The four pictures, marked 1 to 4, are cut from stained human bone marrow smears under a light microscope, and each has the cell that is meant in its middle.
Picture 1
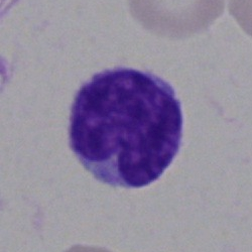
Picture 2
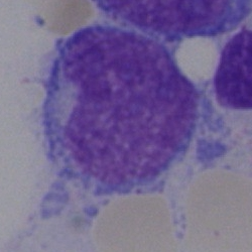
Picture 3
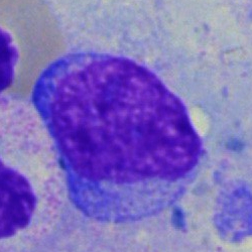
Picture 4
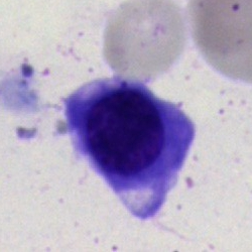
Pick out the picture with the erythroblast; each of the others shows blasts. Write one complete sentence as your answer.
Picture 4 shows the erythroblast.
